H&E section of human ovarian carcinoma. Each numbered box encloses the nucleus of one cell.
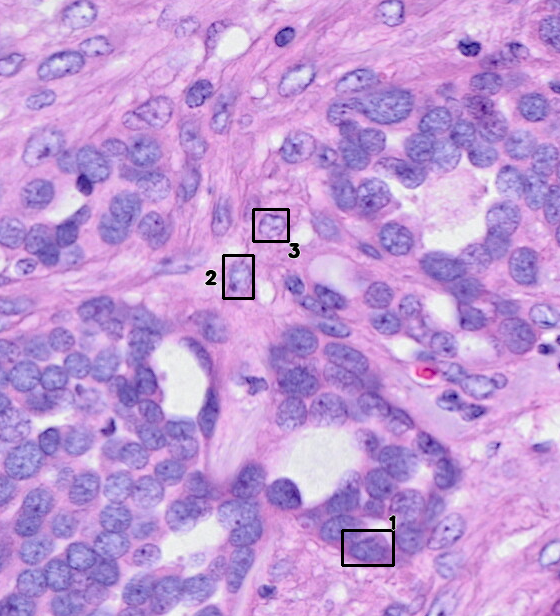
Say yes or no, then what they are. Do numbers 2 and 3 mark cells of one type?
Yes, cell 2 and likewise cell 3 are fibroblasts.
